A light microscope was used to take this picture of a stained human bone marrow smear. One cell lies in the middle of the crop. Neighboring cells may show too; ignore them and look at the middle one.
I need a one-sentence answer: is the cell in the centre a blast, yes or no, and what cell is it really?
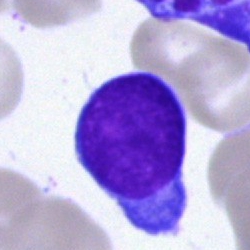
Yes, it is a blast that is seen at the centre of the crop.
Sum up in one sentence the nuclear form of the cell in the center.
What stands out is a nucleus forming one compact round, oval or kidney-shaped mass.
